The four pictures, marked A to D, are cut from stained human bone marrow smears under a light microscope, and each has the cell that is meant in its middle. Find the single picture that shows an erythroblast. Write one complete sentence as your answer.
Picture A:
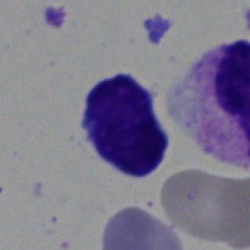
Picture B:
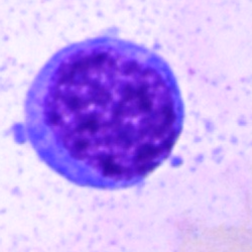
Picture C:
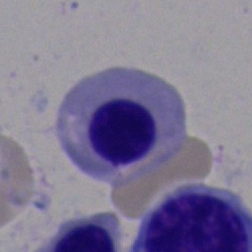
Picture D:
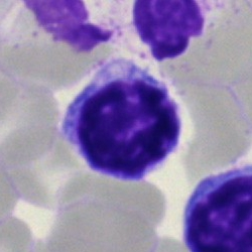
The picture with the erythroblast is C.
